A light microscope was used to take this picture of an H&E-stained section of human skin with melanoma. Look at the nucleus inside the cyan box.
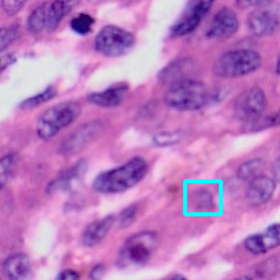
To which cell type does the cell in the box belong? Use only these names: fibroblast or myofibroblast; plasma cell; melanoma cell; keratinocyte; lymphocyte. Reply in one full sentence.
Labelled by cell type, the cell in the box is a melanoma cell.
